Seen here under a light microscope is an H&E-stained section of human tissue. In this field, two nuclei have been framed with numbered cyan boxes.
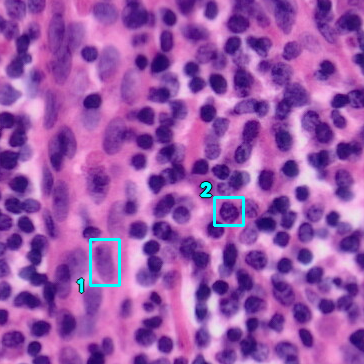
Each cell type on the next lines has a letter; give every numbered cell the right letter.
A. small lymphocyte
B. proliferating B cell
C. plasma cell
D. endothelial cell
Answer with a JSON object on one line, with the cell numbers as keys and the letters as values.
{"1": "D", "2": "C"}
